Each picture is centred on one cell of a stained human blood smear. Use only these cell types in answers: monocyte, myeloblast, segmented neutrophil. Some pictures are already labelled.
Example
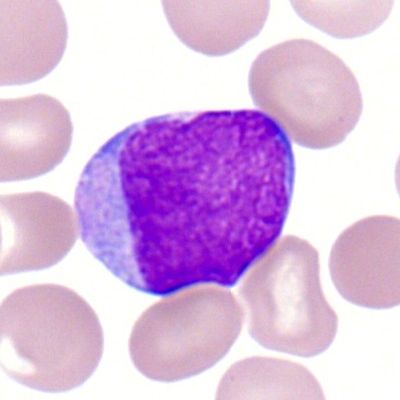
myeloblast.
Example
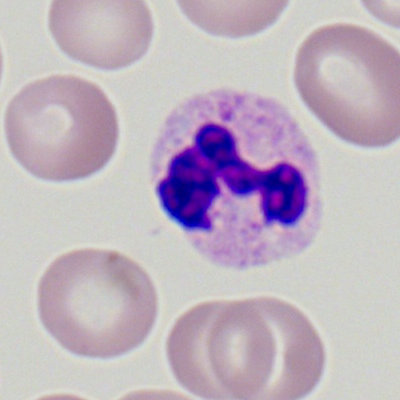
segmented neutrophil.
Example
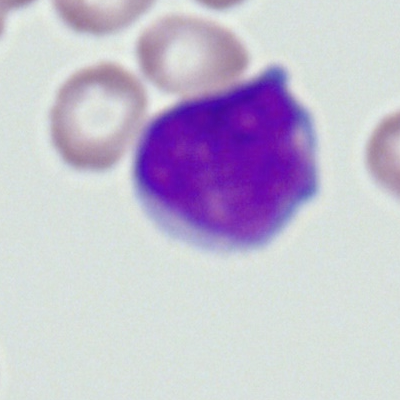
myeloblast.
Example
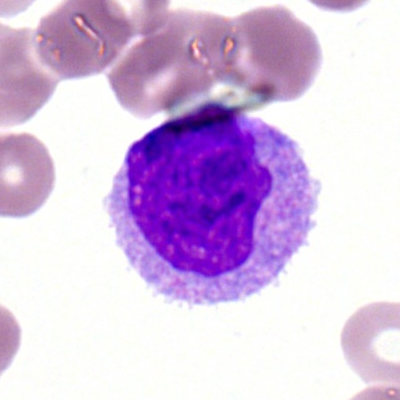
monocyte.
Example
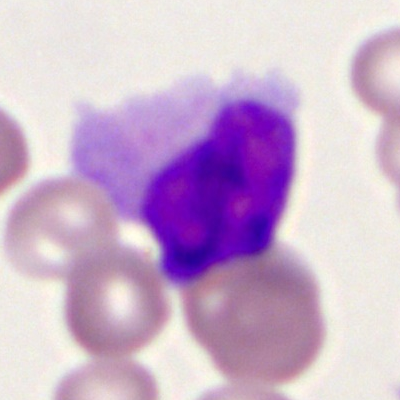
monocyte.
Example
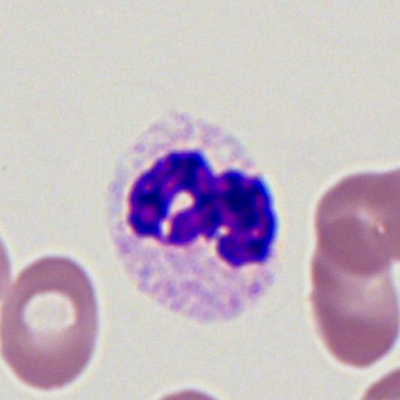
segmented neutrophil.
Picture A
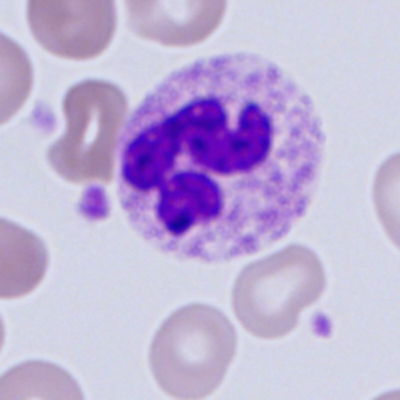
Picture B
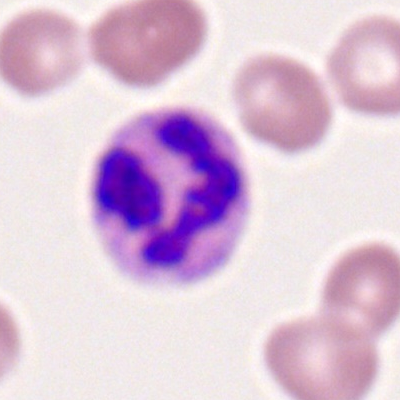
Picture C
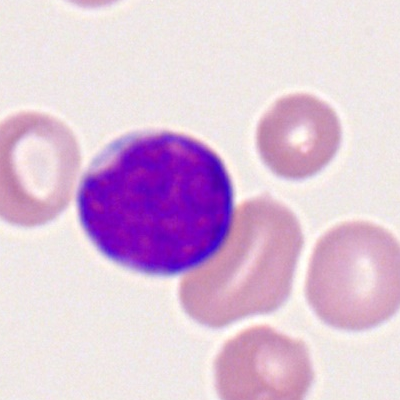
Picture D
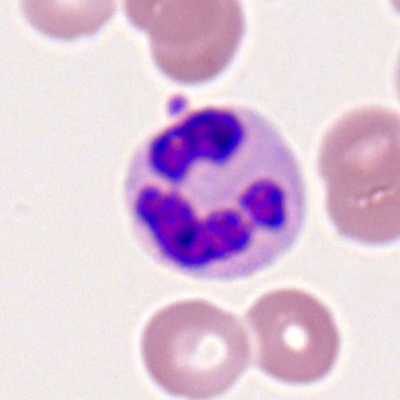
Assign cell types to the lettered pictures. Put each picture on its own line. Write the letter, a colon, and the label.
A: segmented neutrophil.
B: segmented neutrophil.
C: myeloblast.
D: segmented neutrophil.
